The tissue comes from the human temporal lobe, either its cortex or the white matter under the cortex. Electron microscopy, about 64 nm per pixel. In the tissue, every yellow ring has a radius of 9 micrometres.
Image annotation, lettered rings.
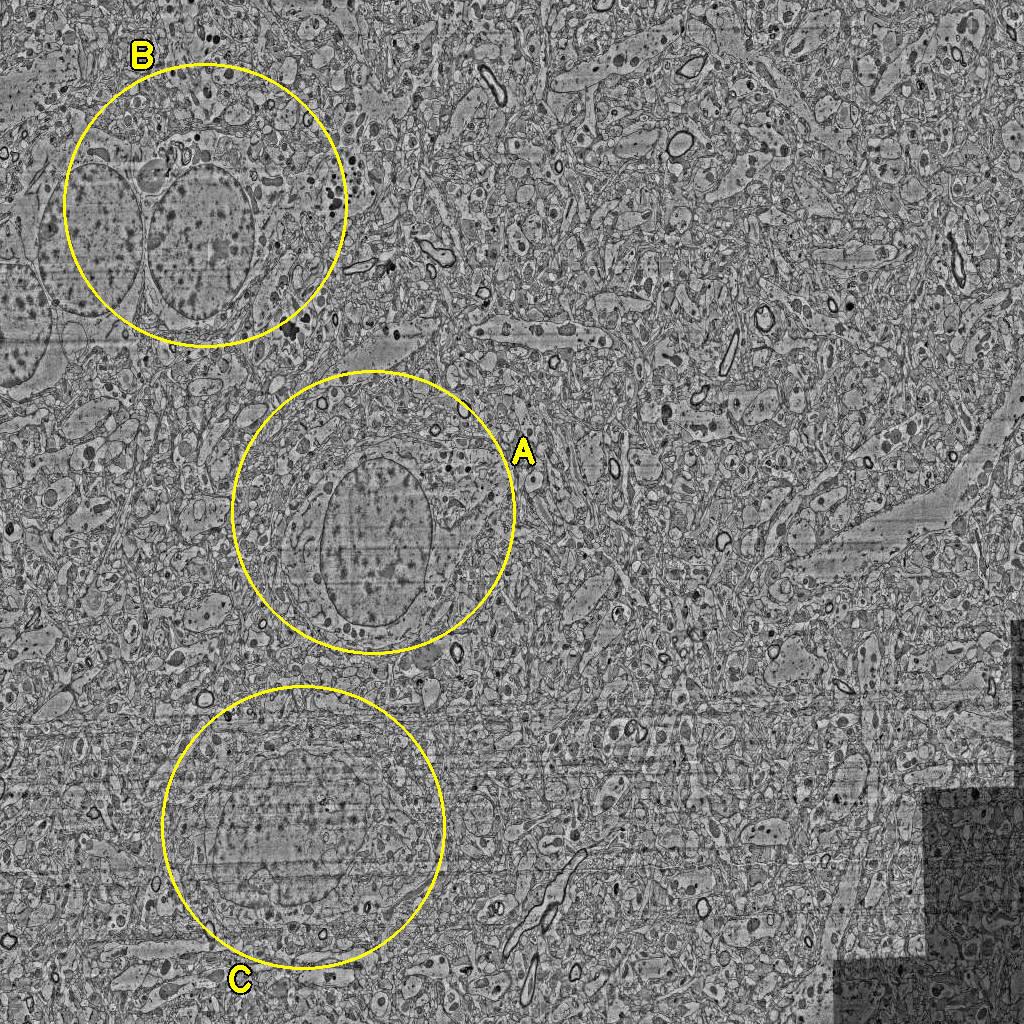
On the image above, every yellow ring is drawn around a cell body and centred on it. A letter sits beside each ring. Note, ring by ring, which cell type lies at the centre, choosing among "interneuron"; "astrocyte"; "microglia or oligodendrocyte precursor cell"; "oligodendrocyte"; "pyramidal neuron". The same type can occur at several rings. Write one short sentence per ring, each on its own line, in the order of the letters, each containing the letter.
Ring A has a pyramidal neuron at its centre.
Ring B has an astrocyte at its centre.
Ring C has an interneuron at its centre.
